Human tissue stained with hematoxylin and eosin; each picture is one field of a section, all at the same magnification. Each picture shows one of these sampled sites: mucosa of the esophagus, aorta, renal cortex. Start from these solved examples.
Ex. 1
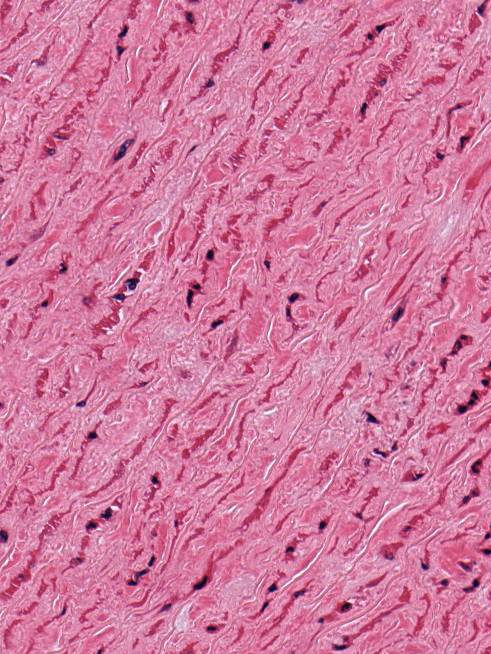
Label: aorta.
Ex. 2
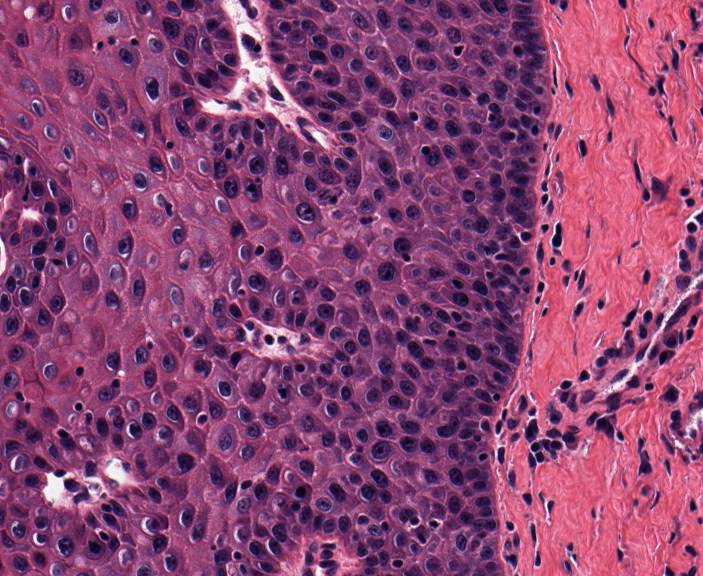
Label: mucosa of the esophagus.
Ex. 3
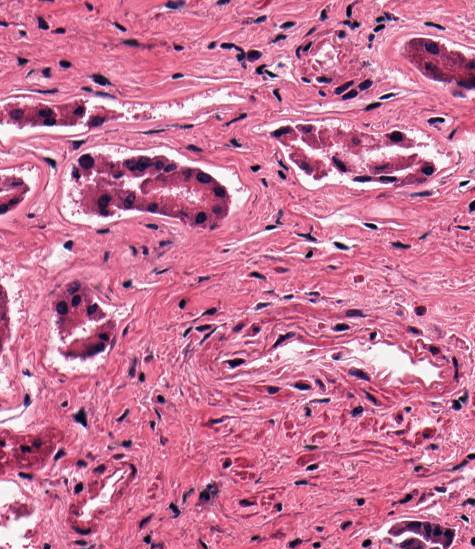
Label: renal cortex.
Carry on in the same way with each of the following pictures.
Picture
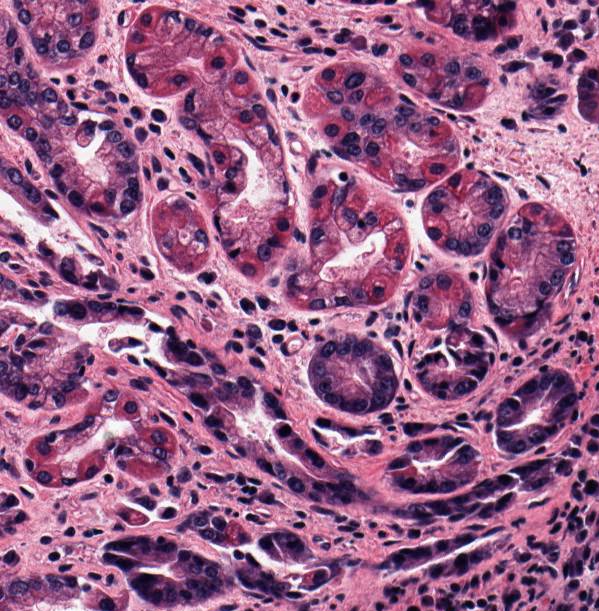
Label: mucosa of the esophagus.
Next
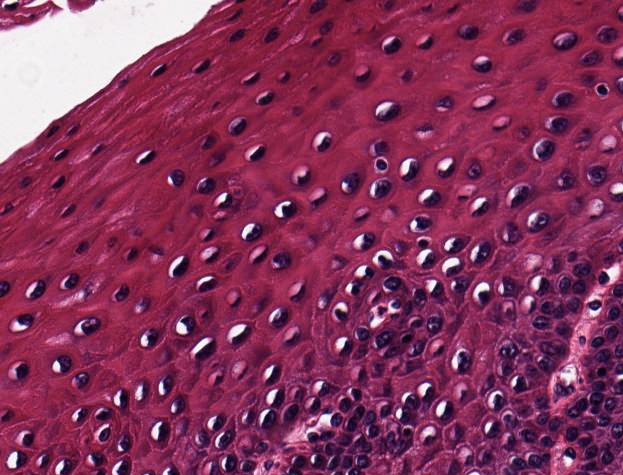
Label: mucosa of the esophagus.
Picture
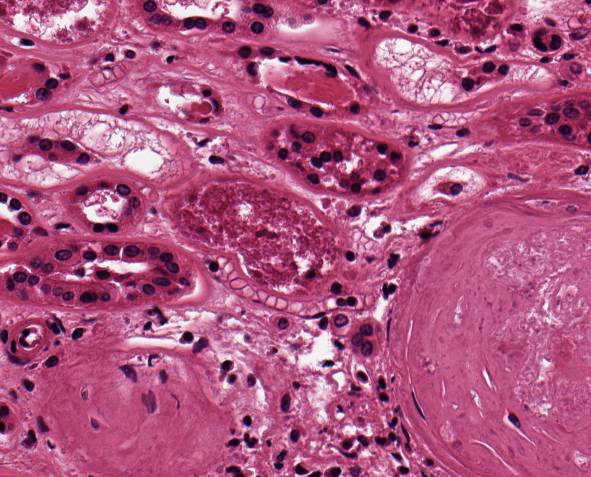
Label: renal cortex.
